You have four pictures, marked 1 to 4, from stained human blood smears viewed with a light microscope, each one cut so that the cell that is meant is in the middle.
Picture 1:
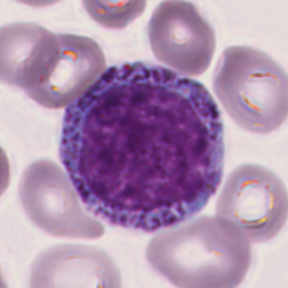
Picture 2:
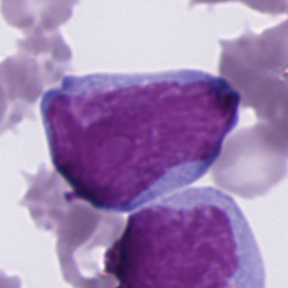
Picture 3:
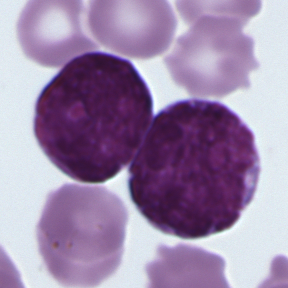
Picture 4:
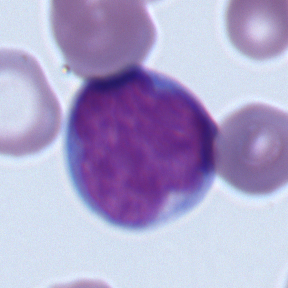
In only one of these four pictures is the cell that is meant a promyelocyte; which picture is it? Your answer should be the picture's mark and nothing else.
1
